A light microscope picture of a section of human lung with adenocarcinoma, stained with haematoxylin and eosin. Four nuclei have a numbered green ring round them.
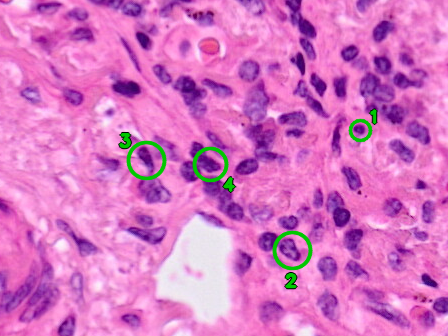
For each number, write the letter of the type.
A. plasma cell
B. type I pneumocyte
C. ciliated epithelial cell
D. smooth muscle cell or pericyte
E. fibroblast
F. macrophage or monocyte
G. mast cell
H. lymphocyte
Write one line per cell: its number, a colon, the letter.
1: H
2: H
3: A
4: H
